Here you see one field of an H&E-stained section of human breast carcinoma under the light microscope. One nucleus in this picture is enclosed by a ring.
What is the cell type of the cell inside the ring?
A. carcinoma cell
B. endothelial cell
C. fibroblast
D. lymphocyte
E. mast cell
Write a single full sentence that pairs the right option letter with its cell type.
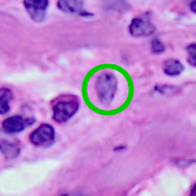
Option E correctly labels the cell inside the ring as a mast cell.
